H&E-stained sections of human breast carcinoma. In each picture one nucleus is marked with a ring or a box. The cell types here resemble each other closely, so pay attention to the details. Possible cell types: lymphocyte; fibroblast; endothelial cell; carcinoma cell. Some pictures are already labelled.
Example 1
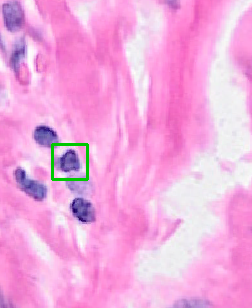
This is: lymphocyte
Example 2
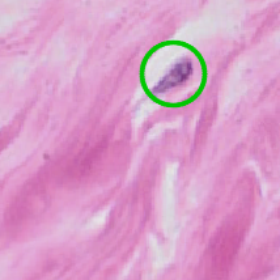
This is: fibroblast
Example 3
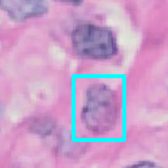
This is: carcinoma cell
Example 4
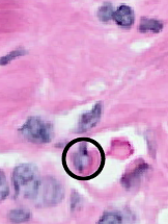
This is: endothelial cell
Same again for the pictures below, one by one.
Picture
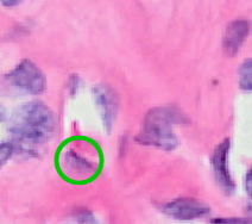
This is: endothelial cell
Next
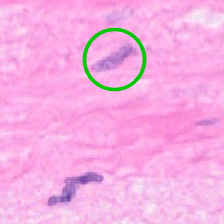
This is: fibroblast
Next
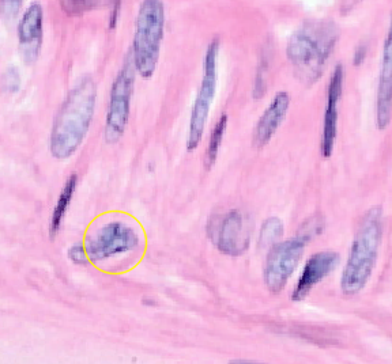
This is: endothelial cell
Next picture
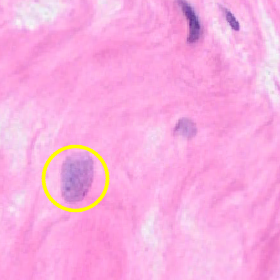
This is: fibroblast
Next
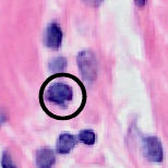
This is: lymphocyte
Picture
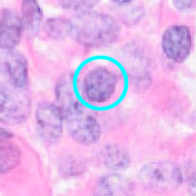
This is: carcinoma cell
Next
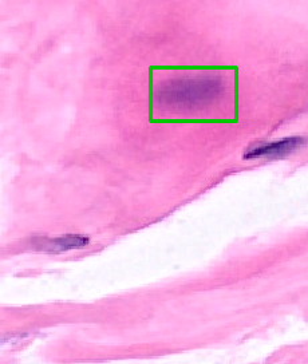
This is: fibroblast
